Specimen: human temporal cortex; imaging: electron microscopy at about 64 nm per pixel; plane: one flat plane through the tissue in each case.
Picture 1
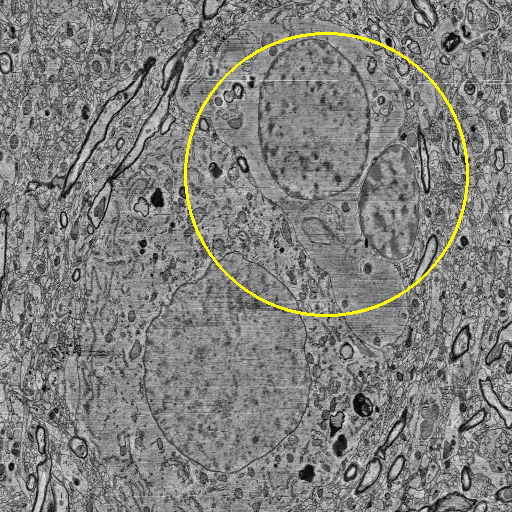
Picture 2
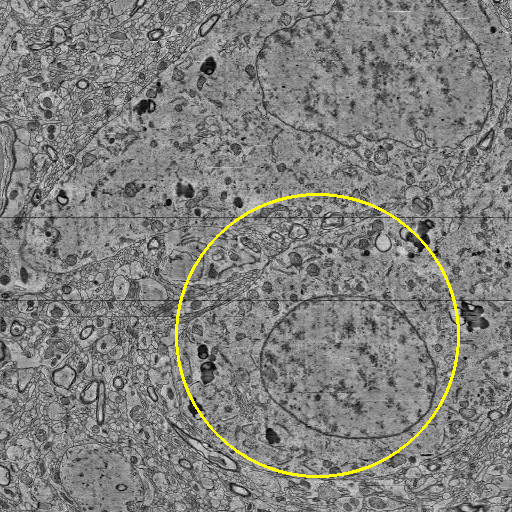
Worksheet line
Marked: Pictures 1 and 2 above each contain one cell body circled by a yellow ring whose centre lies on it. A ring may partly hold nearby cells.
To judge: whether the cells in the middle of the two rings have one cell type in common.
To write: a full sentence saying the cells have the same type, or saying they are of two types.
The cells in the middle of the rings in Picture 1 and Picture 2 are of two types.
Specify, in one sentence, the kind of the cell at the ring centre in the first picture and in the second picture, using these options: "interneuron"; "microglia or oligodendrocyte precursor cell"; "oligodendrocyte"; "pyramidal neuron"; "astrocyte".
So the first is an astrocyte, the second a pyramidal neuron.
